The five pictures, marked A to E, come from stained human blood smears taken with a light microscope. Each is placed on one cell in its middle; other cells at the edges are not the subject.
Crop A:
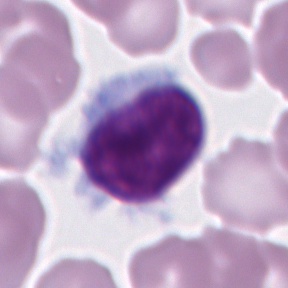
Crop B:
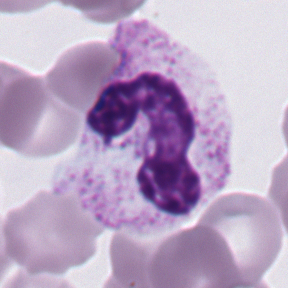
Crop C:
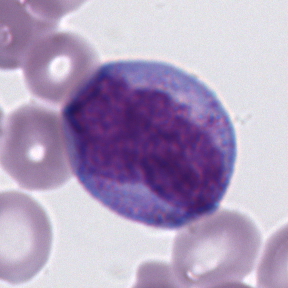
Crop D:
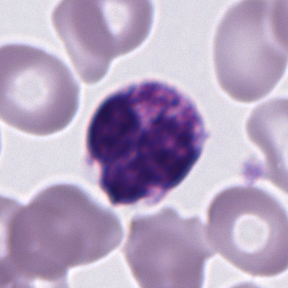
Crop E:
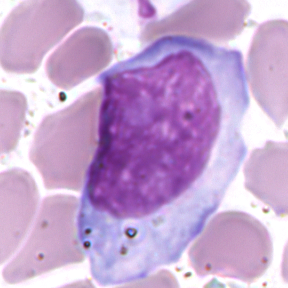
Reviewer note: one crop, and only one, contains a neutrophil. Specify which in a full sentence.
Crop B is the crop that displays a neutrophil.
